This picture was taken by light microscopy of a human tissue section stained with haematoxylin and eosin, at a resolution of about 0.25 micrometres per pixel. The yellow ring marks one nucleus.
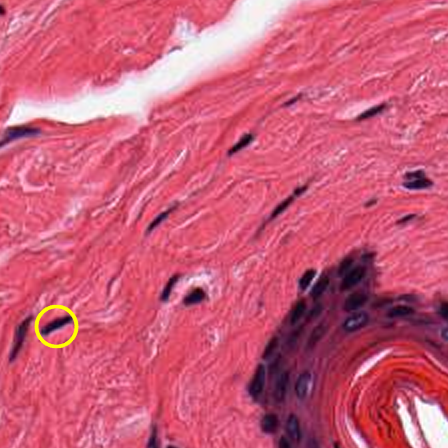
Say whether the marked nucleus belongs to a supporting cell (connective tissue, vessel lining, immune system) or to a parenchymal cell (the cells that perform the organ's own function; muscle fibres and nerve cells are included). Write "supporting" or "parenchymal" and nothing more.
supporting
